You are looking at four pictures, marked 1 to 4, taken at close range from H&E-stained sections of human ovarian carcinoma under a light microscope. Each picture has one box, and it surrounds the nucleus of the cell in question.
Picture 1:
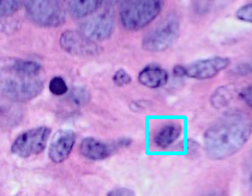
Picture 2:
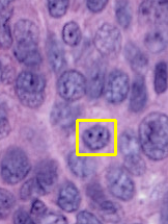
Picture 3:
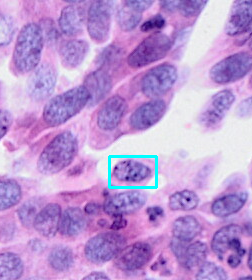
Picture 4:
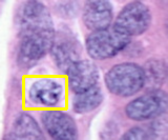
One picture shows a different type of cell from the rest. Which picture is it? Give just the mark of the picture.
1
